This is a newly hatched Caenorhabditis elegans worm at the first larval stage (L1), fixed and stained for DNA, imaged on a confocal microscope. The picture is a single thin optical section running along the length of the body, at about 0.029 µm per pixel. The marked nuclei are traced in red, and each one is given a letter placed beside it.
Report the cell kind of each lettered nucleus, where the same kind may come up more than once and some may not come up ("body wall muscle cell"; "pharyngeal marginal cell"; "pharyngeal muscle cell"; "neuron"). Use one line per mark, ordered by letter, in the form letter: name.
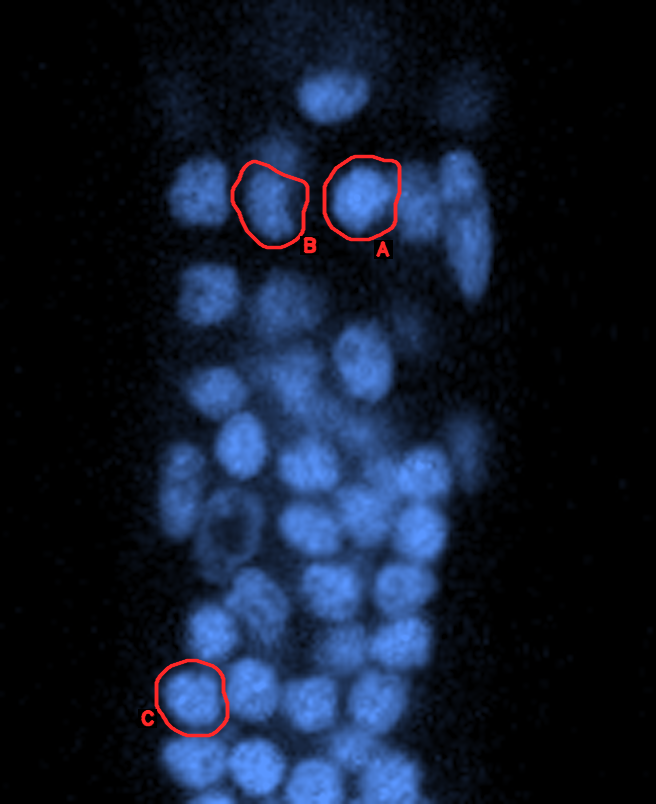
A: pharyngeal marginal cell
B: pharyngeal muscle cell
C: neuron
